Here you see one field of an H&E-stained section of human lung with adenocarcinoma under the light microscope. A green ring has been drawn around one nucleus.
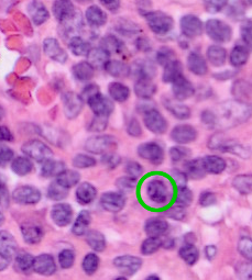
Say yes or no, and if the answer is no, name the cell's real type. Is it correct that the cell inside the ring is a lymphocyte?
Yes.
